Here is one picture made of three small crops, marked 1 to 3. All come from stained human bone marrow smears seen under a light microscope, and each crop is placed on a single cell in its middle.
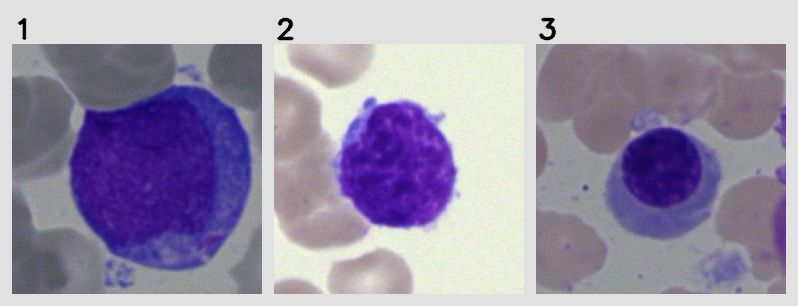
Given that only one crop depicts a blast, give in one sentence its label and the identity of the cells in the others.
Found in crop 1 is a blast, whereas crop 2 is a lymphocyte and crop 3 is an erythroblast.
